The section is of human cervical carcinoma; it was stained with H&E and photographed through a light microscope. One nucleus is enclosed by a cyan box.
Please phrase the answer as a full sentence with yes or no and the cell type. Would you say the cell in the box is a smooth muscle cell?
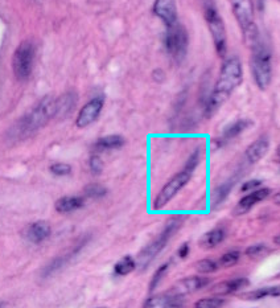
Yes, the cell in the box is a smooth muscle cell; nothing to add.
